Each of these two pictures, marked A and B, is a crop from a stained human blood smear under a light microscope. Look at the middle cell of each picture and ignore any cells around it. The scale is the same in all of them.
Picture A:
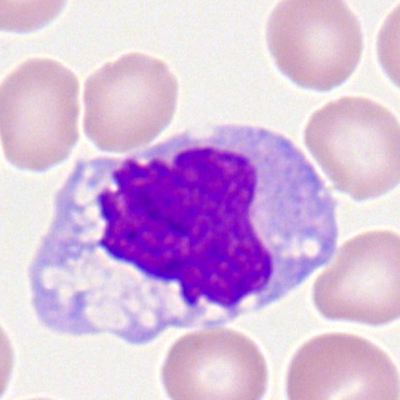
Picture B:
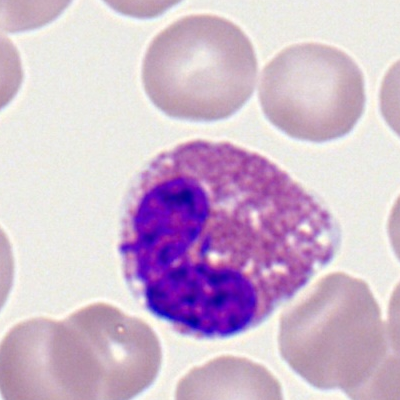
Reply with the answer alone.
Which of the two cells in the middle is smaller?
B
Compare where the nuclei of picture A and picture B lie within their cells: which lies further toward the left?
B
